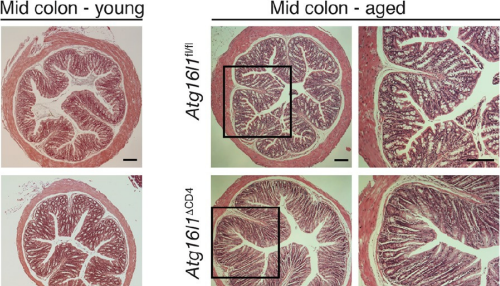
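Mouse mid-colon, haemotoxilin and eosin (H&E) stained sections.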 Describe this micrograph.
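The mucosa consists of closely packed, straight tubular crypts that run perpendicular to the surface, and there are no villi. A continuous pink ring of smooth muscle encloses the mucosa and submucosa at the outside of each section.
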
